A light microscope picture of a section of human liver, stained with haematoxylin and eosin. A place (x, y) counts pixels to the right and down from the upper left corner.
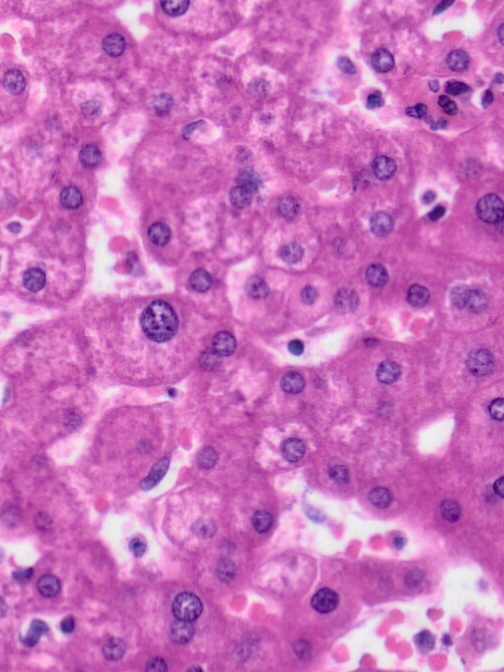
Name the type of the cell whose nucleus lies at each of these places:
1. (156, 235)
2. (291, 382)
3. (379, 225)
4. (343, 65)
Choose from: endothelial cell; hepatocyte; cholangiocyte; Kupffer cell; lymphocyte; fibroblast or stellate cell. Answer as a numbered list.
1. hepatocyte
2. hepatocyte
3. hepatocyte
4. Kupffer cell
